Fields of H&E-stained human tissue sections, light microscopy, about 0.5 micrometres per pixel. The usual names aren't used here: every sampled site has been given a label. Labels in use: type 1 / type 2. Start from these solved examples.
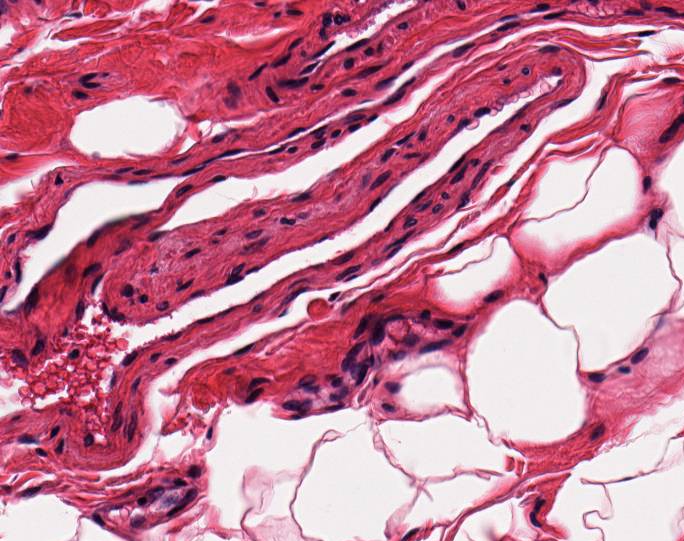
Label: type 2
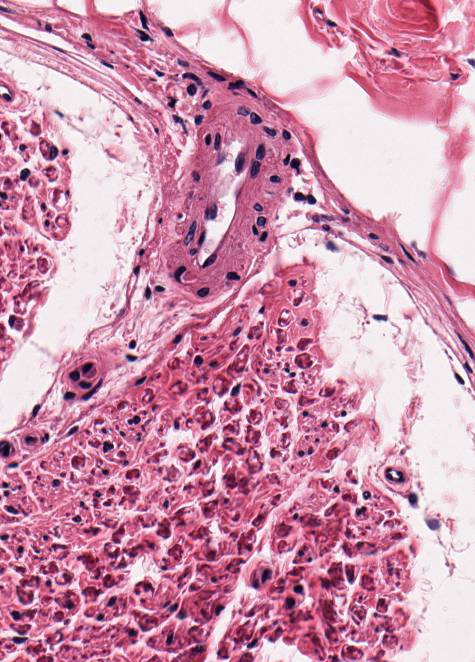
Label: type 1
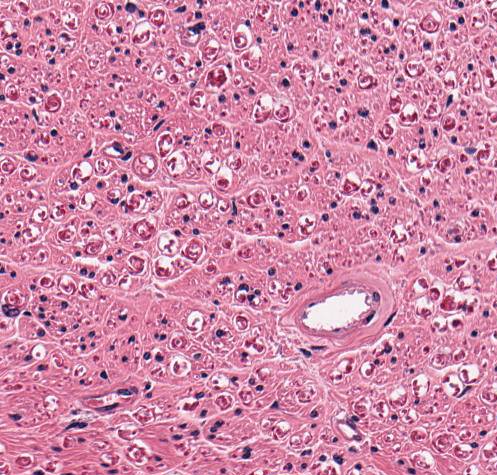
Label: type 1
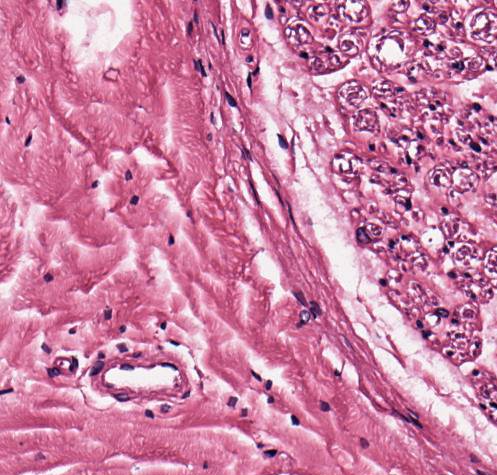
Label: type 1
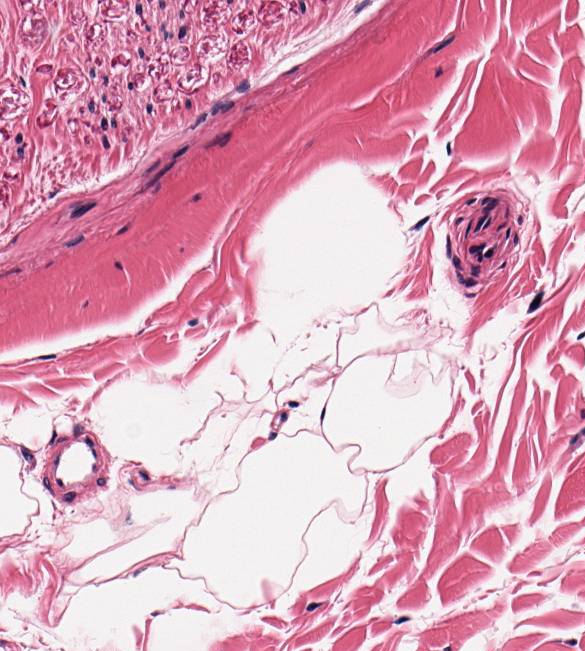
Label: type 1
